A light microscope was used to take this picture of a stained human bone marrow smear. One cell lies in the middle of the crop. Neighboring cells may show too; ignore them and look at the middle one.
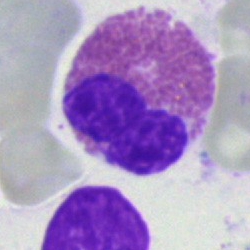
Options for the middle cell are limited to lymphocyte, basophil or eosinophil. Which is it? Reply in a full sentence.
Regarding the central cell, it is an eosinophil.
